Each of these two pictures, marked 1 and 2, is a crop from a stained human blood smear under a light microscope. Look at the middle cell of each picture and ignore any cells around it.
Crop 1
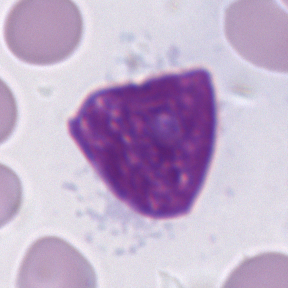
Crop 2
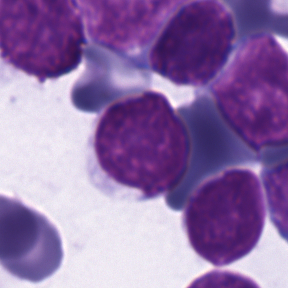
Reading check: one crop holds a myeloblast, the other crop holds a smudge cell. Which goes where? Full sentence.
The crop labelled 1 is a smudge cell, and the crop labelled 2 is a myeloblast.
